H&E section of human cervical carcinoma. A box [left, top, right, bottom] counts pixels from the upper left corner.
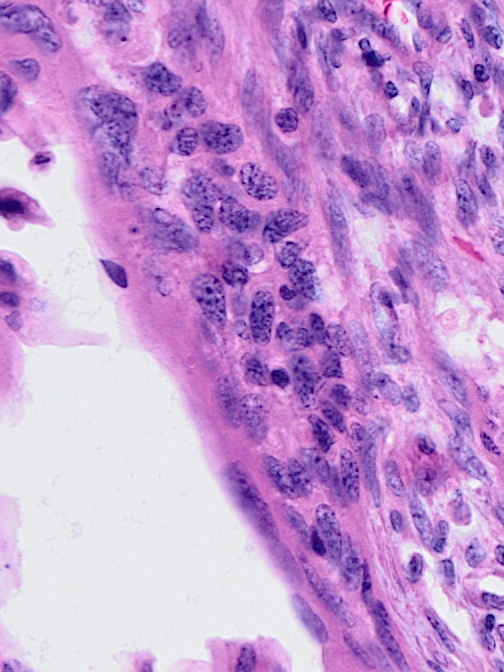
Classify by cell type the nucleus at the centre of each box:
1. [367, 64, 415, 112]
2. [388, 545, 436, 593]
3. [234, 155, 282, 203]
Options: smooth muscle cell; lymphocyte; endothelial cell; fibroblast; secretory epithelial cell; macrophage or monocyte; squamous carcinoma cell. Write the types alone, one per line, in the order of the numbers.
lymphocyte
macrophage or monocyte
squamous carcinoma cell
